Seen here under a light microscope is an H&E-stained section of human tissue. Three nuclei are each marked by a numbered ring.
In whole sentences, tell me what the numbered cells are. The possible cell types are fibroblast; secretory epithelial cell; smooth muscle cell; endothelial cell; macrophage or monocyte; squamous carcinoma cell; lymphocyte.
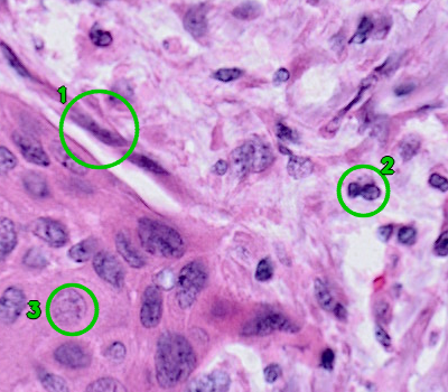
Cell 1 is a fibroblast. Cell 2 is a lymphocyte. Cell 3 is a squamous carcinoma cell.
